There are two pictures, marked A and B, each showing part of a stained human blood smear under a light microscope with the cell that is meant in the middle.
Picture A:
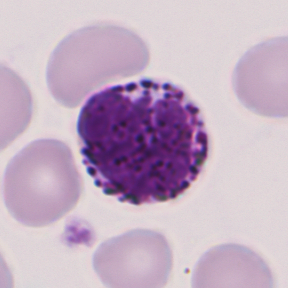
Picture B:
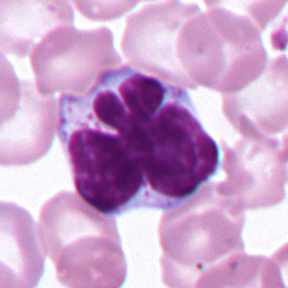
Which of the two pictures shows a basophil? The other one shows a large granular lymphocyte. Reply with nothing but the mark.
A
